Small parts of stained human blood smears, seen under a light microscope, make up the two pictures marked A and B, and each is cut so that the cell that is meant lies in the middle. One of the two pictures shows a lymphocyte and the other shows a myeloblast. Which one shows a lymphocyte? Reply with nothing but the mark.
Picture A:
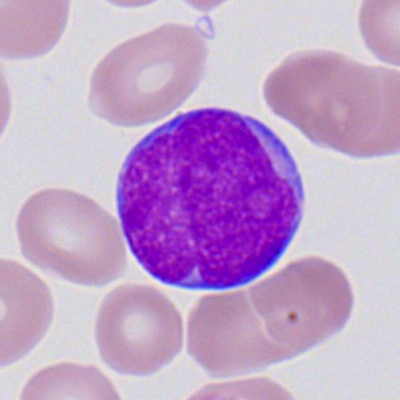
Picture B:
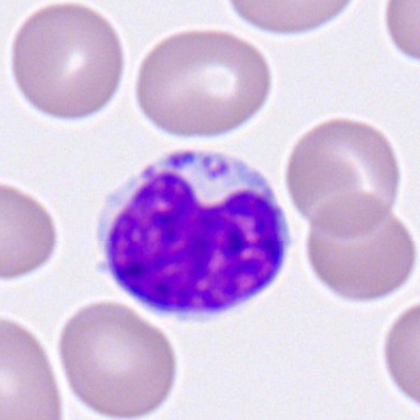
B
